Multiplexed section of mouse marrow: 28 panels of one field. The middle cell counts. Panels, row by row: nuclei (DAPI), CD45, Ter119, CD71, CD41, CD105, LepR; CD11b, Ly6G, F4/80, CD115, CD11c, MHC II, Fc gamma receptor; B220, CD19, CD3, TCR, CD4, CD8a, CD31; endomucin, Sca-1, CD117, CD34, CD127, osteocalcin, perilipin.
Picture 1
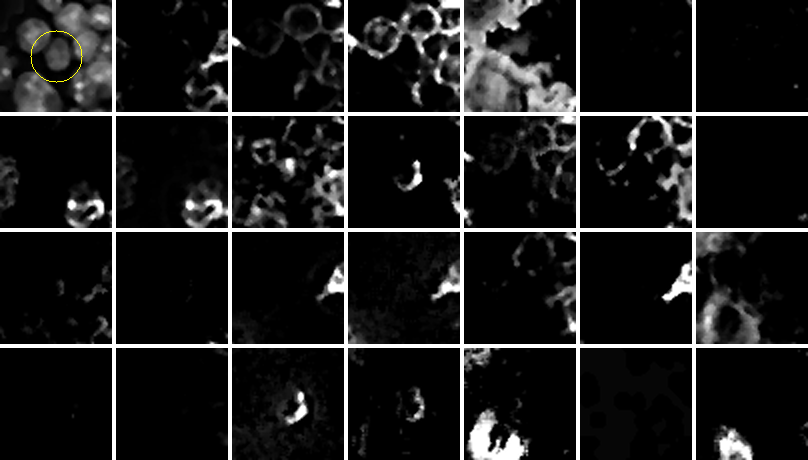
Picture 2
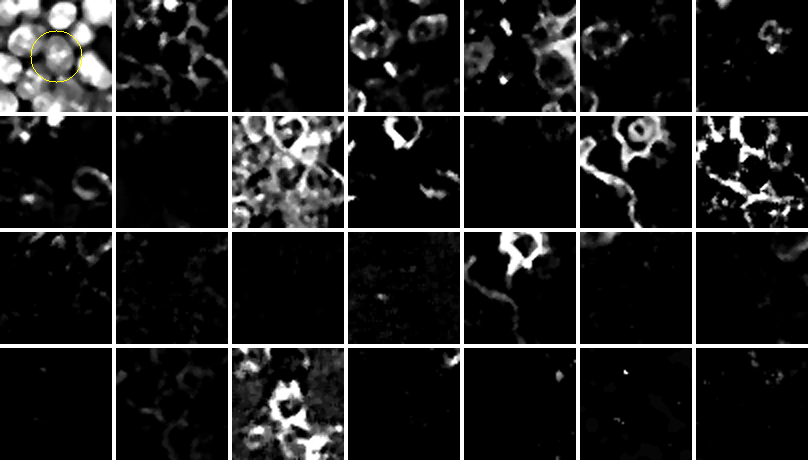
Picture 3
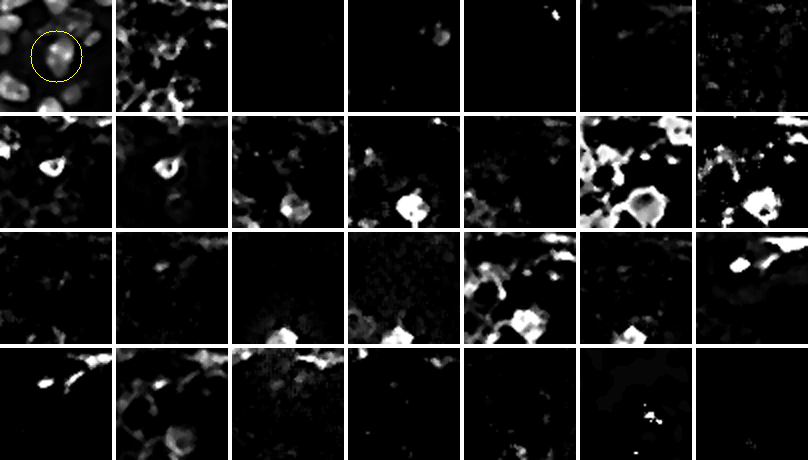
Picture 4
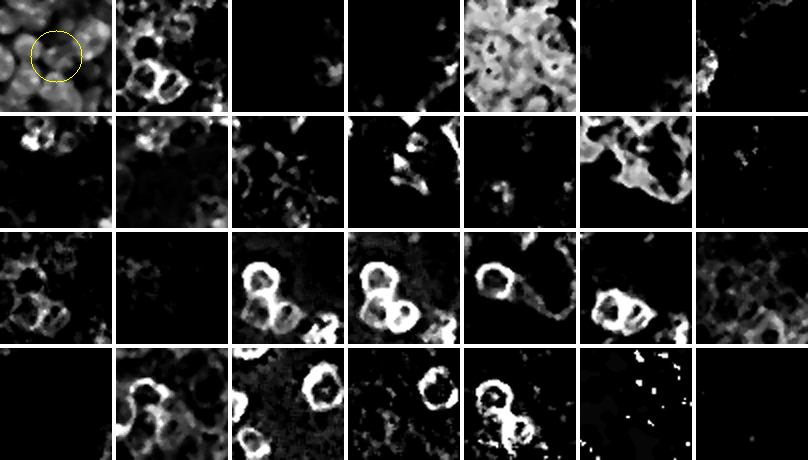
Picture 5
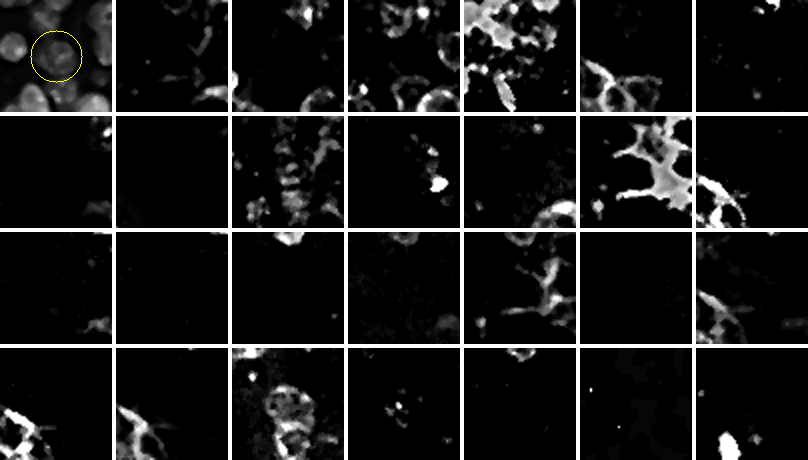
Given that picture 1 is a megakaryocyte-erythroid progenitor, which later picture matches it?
5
